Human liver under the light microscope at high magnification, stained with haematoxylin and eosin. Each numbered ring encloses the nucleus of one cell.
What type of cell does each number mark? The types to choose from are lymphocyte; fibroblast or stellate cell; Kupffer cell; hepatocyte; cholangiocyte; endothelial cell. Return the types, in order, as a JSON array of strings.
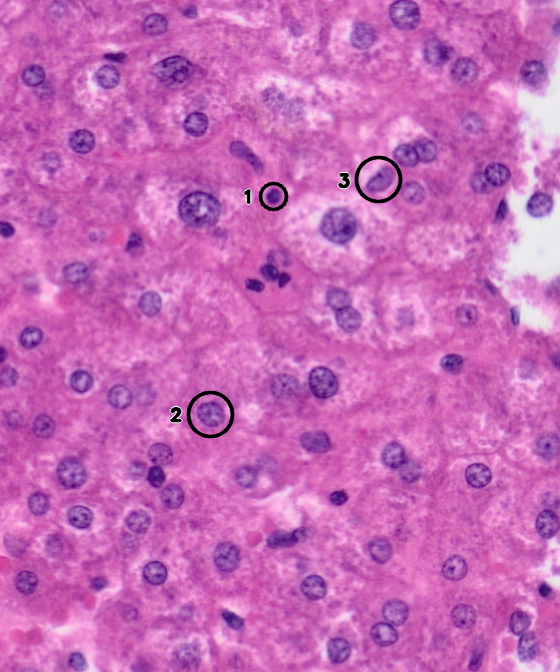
["lymphocyte", "hepatocyte", "Kupffer cell"]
